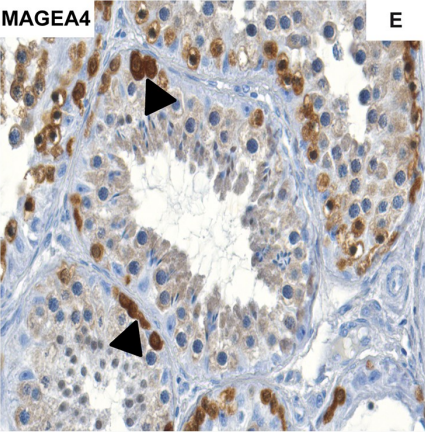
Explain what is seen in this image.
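Several tubules of the testis are cut across, each with a layered epithelium around a pale lumen. Round cells in the outer layers, next to the tubule wall, stain dark brown in nucleus and cytoplasm, forming a near-continuous ring in places. Cells further in toward the lumen are lighter, some grey-brown, others blue with only counterstained nuclei. The lumen holds a loose, pale meshwork. Between the tubules, thin walls of flattened cells with elongated blue nuclei and some interstitial tissue remain unstained.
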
